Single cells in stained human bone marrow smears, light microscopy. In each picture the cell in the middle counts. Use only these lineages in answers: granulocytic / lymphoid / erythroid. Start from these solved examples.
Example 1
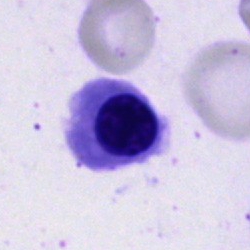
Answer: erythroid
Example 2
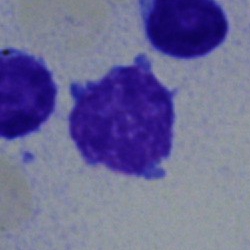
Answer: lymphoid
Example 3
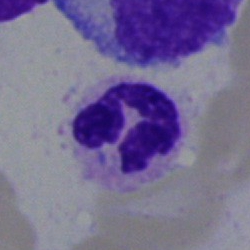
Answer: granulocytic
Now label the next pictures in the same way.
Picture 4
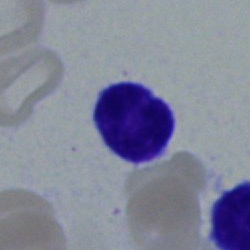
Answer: lymphoid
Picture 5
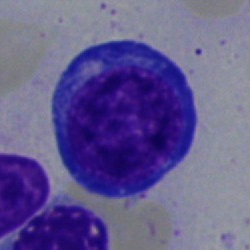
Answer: erythroid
